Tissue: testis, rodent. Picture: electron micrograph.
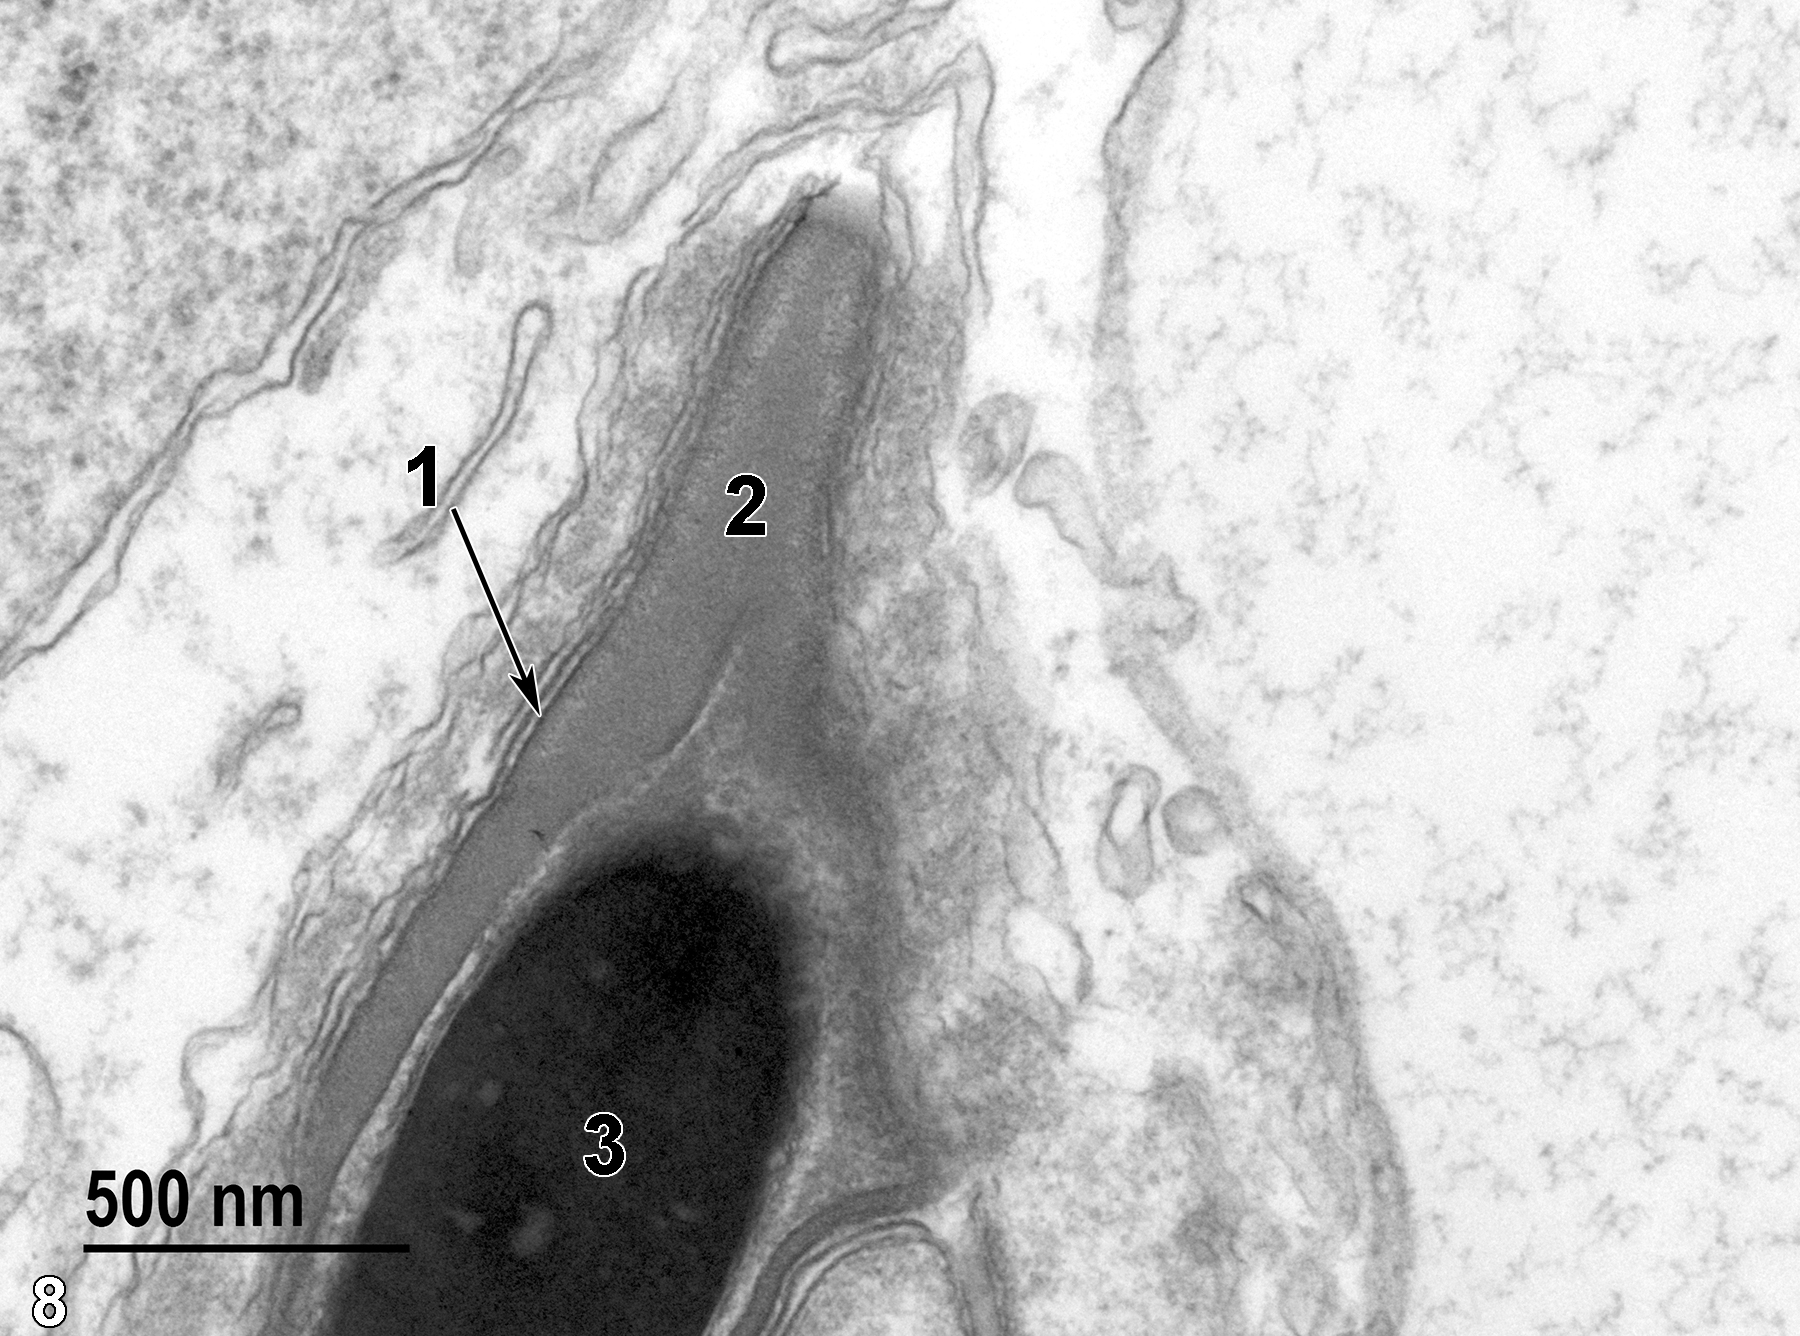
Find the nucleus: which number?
It's 3.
